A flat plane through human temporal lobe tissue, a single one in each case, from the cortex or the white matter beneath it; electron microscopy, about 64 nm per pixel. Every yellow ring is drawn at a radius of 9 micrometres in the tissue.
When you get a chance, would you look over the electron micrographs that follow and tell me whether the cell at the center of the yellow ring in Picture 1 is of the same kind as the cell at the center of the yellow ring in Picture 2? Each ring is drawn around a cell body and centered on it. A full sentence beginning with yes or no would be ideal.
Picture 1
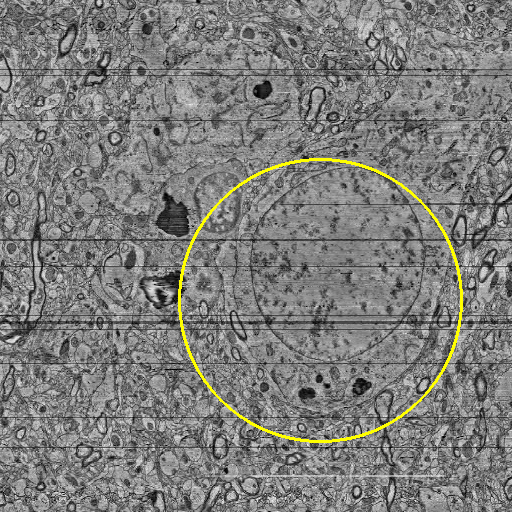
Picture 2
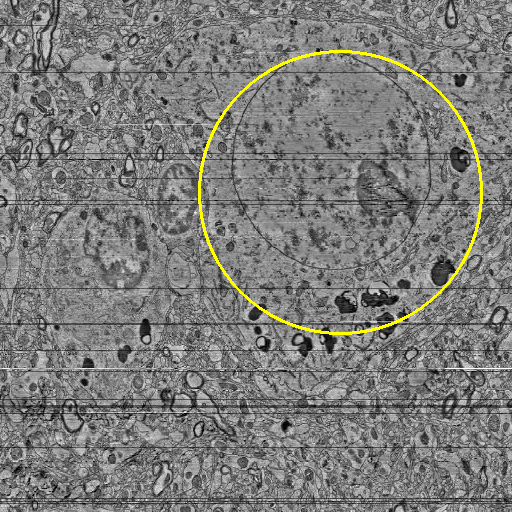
Yes, the two cells are of the same kind.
